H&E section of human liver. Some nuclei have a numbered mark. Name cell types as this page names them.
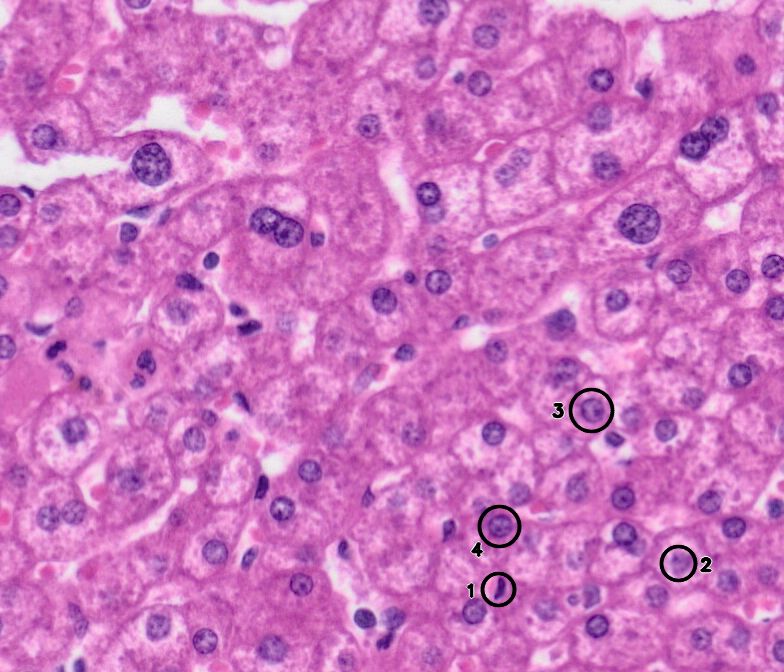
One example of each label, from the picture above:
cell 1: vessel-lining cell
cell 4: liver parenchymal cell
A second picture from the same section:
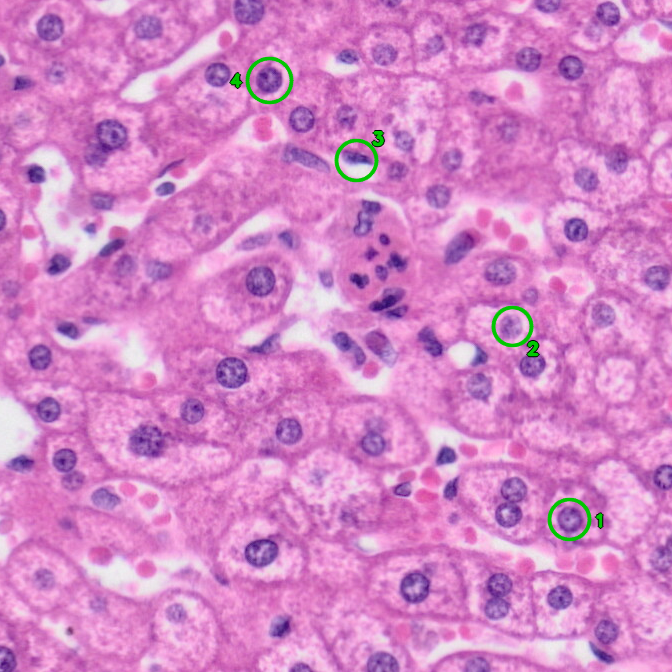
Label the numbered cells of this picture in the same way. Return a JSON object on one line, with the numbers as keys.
{"1": "liver parenchymal cell", "2": "liver parenchymal cell", "3": "vessel-lining cell", "4": "liver parenchymal cell"}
